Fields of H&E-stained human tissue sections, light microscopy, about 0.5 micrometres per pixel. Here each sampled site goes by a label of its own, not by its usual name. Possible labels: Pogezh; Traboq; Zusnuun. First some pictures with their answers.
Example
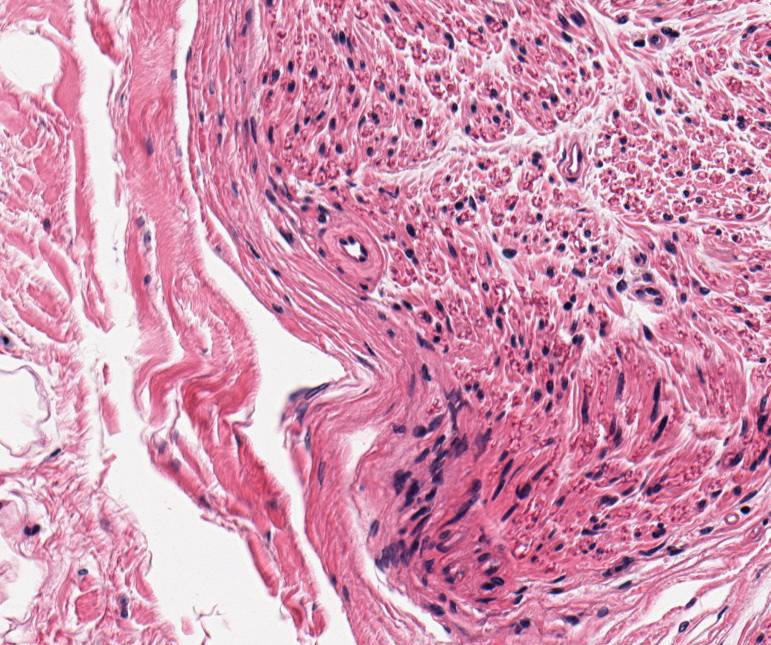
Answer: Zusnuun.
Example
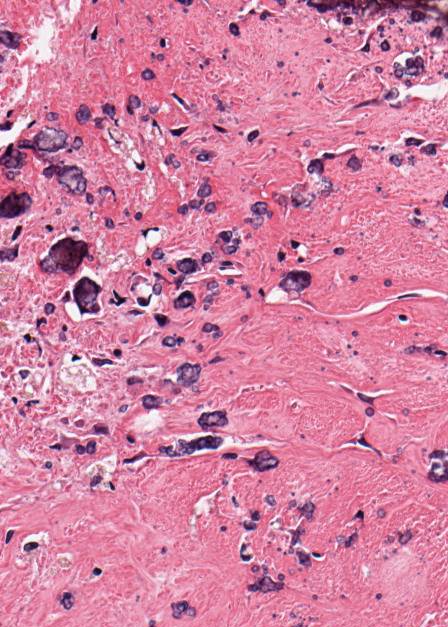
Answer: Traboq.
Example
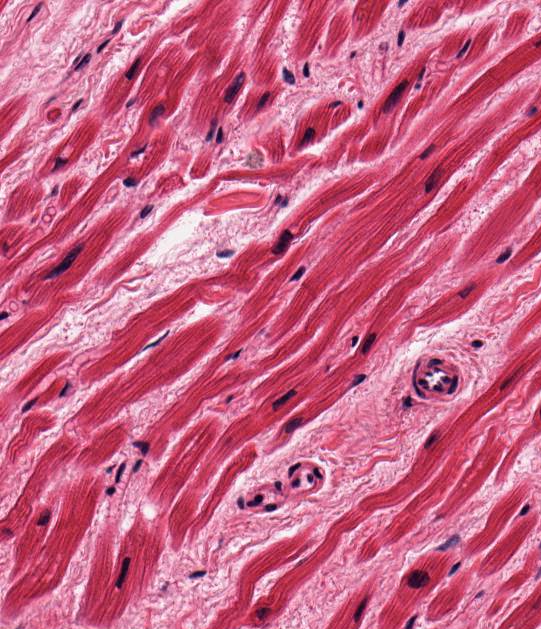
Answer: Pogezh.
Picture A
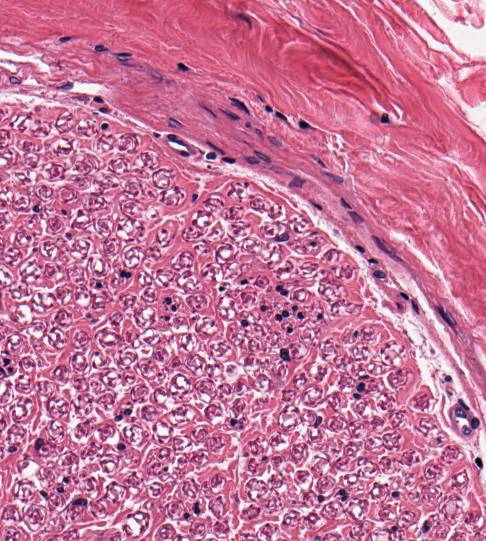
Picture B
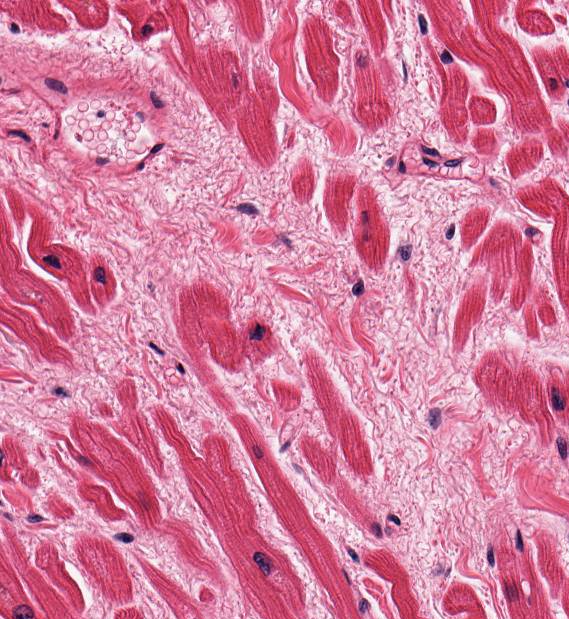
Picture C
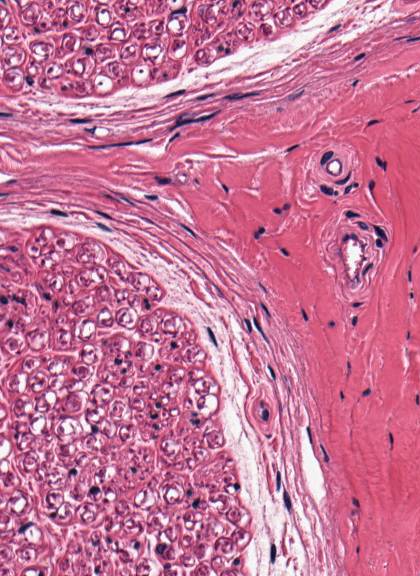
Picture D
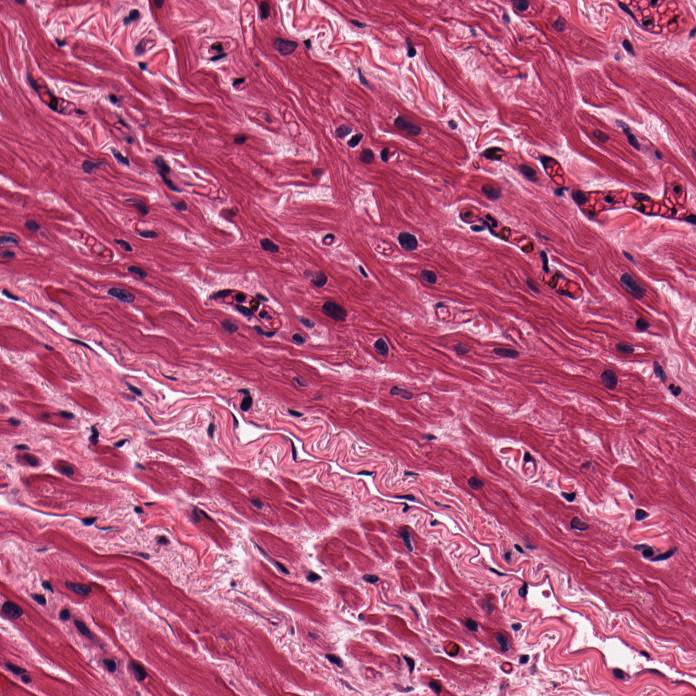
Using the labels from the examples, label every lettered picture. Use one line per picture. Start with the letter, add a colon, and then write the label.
A: Zusnuun.
B: Pogezh.
C: Zusnuun.
D: Pogezh.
